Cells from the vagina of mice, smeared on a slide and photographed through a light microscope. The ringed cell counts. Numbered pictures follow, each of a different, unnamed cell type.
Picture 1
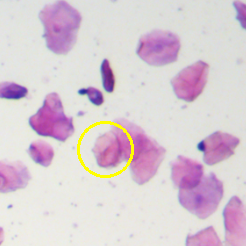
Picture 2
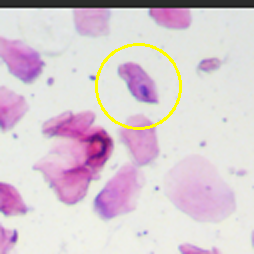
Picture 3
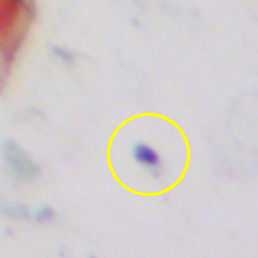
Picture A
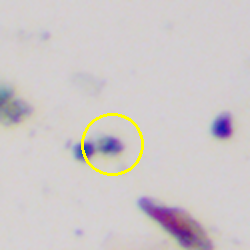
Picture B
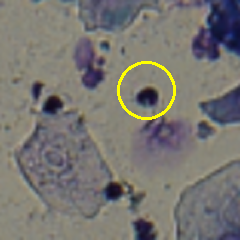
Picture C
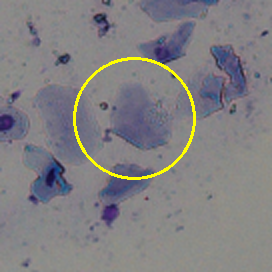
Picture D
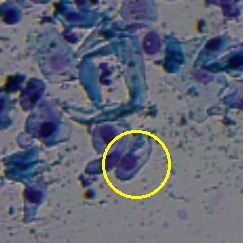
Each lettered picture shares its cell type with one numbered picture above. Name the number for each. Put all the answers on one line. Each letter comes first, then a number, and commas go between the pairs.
A 3, B 3, C 1, D 2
